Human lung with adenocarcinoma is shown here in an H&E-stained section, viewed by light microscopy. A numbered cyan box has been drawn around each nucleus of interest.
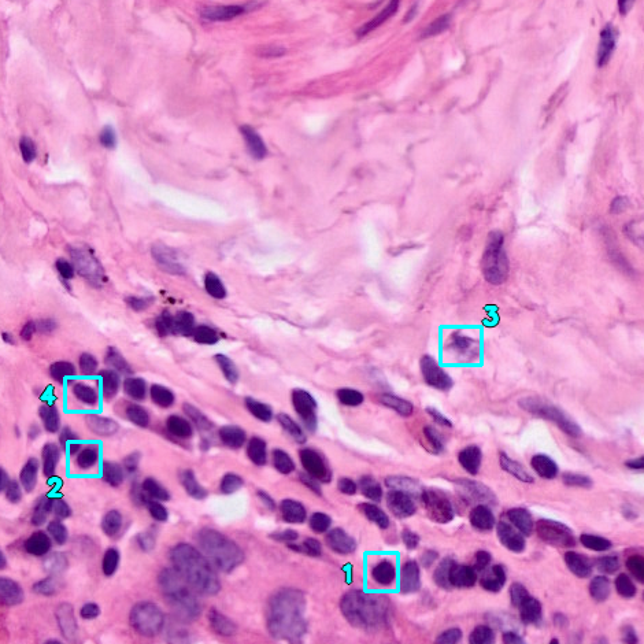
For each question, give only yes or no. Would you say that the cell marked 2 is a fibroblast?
no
